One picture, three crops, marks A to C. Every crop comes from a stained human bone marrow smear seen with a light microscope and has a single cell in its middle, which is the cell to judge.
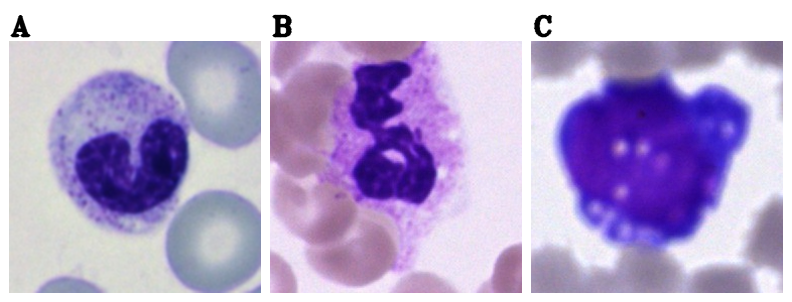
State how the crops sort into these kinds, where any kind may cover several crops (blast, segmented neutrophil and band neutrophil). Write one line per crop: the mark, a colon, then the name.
A: band neutrophil
B: segmented neutrophil
C: blast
